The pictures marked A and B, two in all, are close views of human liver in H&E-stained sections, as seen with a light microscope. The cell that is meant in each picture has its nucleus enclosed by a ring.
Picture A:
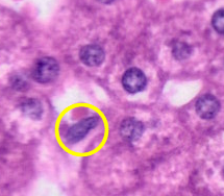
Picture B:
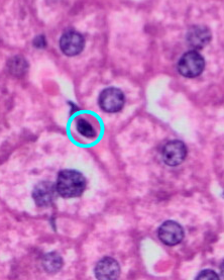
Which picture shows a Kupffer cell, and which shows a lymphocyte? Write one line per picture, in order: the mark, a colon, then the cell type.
A: Kupffer cell
B: lymphocyte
